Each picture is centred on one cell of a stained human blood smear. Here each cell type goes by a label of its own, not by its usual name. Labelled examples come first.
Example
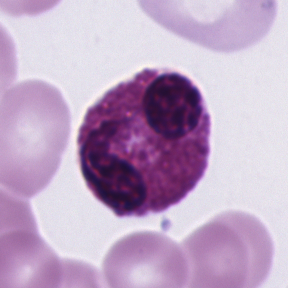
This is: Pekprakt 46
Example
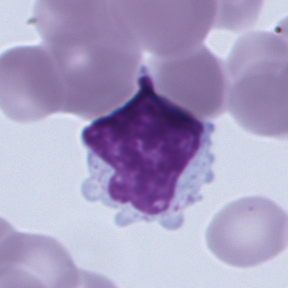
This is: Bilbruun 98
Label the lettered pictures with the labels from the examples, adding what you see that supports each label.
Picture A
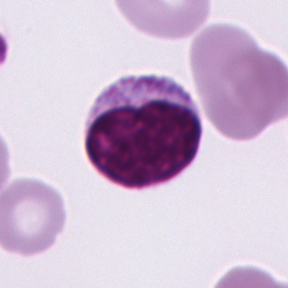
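Label: Bilbruun 98. The cytoplasm contains fine purplish granules.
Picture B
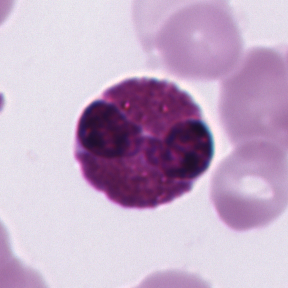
Label: Pekprakt 46. Granules fill the cytoplasm evenly right out to the cell edge.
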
